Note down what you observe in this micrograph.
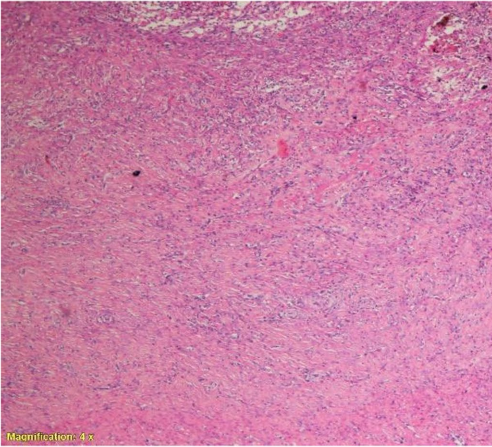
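The spindle cells run in loose, partly parallel streams across the field, with elongated dark nuclei. Scattered among them are small round dark nuclei of inflammatory cells, more numerous in some areas than others. A few small clear spaces and red-brown specks appear near the top. No sheets of dead, structureless debris are seen.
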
